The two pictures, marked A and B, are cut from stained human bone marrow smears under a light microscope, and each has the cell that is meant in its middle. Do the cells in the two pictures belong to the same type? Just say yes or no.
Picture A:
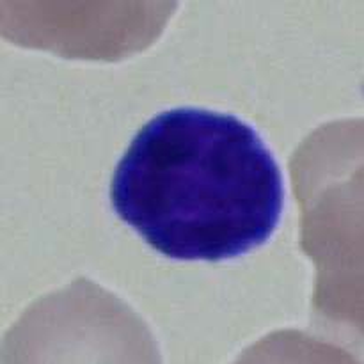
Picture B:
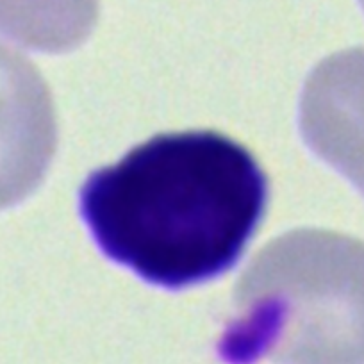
yes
